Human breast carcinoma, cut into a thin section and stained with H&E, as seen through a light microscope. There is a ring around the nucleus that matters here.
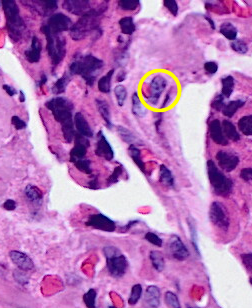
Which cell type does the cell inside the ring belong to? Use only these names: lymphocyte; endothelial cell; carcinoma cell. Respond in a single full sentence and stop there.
In the tissue at hand, the cell inside the ring is an endothelial cell.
